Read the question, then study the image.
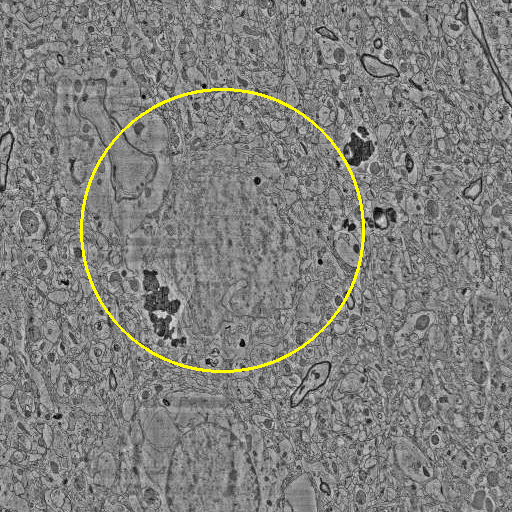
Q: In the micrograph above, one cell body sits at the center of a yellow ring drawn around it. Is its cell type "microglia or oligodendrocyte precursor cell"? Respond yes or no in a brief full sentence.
No, its cell type is another one.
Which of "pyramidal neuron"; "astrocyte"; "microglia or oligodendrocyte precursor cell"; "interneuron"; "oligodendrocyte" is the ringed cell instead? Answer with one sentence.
Sitting at the ring centre is an interneuron.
